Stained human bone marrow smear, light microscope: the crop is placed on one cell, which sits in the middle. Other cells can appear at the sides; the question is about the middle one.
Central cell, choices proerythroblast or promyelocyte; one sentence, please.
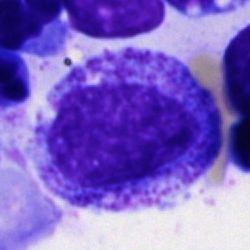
The target cell in the middle of the crop is a promyelocyte.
